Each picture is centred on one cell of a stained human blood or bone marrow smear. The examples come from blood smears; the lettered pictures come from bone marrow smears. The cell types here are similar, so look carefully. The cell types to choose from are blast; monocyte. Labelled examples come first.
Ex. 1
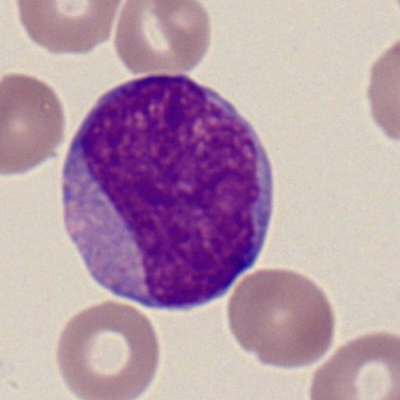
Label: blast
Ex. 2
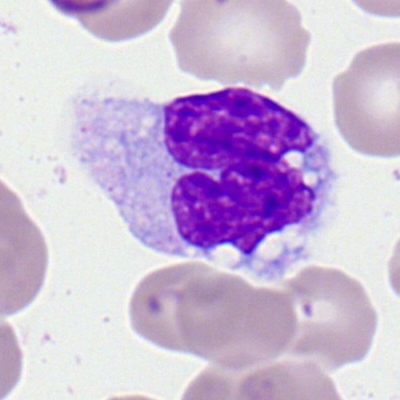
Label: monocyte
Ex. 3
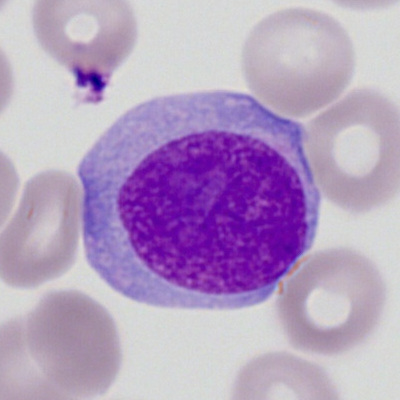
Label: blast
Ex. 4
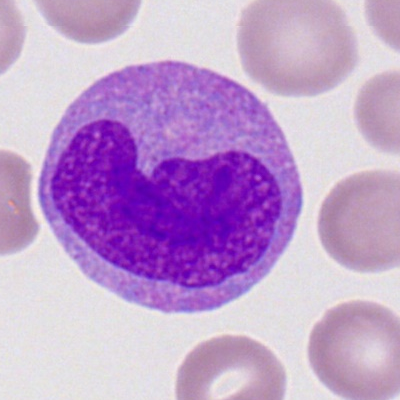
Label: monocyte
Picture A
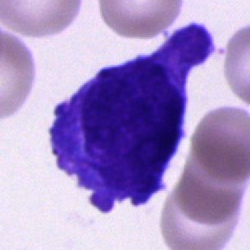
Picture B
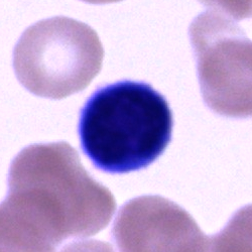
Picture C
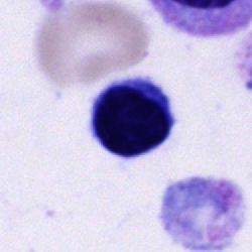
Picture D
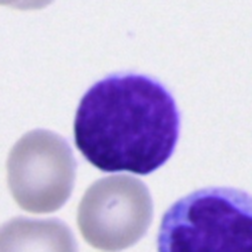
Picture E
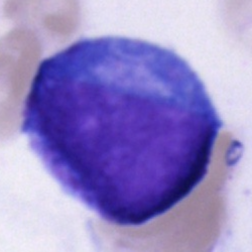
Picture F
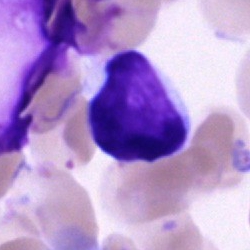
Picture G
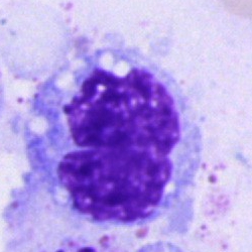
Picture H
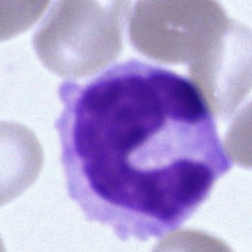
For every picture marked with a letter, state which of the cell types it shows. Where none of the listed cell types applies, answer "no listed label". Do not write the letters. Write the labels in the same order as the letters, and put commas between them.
blast, no listed label, no listed label, no listed label, blast, no listed label, monocyte, monocyte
